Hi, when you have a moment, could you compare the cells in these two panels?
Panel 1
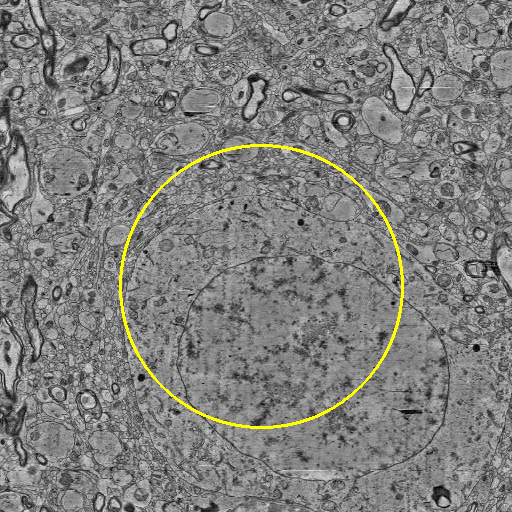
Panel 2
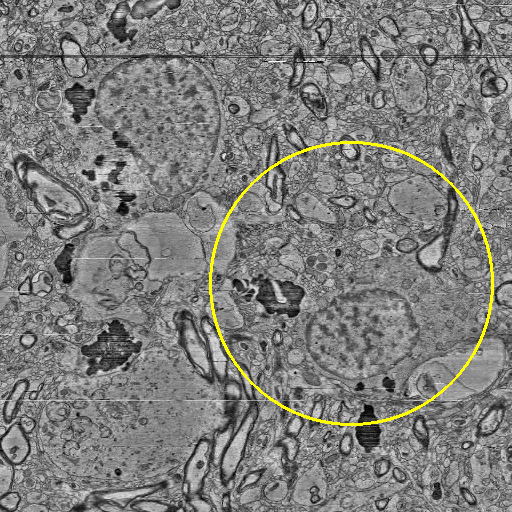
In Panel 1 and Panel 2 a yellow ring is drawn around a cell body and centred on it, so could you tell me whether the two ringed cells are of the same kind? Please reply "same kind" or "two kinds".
two kinds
